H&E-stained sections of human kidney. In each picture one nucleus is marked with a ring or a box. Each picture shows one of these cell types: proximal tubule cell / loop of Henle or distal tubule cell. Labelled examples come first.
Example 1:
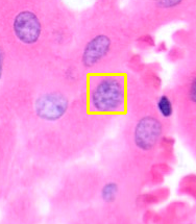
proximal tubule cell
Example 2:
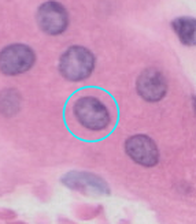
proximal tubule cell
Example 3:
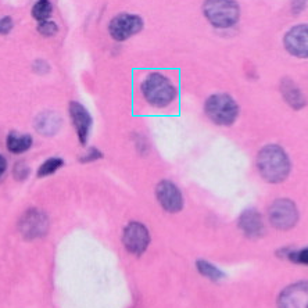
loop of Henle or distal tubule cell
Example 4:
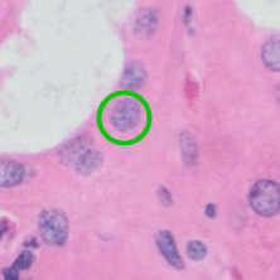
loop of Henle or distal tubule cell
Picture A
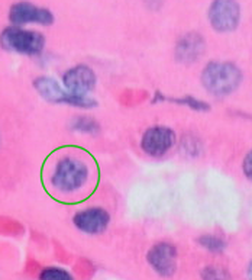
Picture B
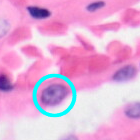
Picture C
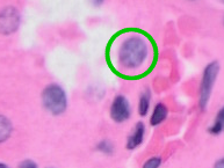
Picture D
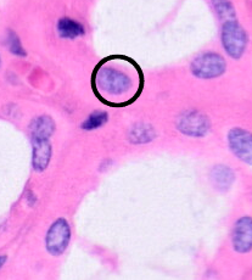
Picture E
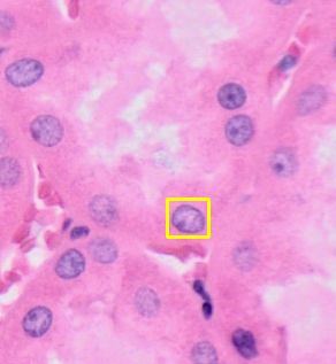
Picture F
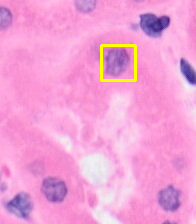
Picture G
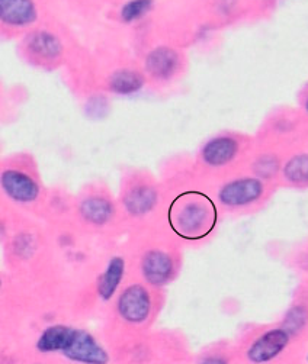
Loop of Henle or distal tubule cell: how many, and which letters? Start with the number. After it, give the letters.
5: A, B, C, D, G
